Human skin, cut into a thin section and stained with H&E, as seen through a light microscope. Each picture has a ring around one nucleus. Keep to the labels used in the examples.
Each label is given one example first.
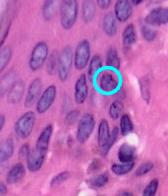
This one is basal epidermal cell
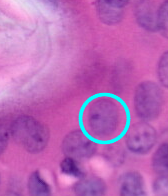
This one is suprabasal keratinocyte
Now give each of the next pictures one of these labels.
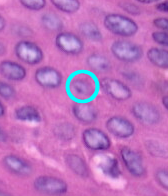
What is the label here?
suprabasal keratinocyte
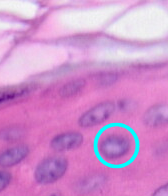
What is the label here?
suprabasal keratinocyte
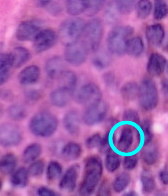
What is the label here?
basal epidermal cell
